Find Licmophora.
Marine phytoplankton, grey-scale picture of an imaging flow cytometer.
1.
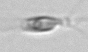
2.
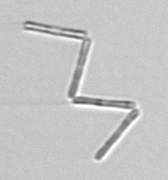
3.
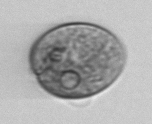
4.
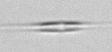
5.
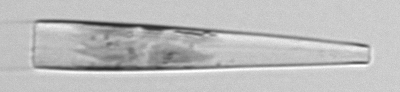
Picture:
5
